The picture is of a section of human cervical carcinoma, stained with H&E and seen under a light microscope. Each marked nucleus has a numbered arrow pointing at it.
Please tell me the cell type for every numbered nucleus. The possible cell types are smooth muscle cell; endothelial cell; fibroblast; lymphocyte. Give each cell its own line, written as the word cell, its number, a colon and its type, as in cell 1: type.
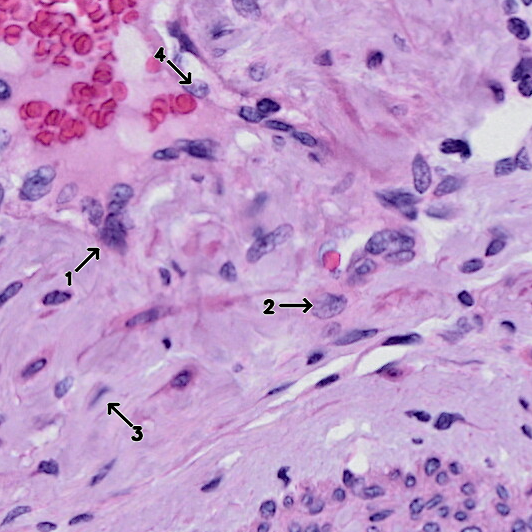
cell 1: endothelial cell
cell 2: endothelial cell
cell 3: fibroblast
cell 4: endothelial cell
